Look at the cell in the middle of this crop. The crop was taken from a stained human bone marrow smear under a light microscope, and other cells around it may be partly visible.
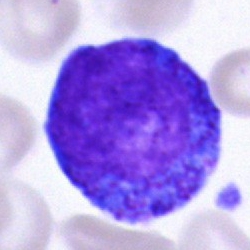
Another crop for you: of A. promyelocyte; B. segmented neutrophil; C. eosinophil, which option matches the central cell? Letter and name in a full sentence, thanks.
The middle of the crop holds a promyelocyte, which points to option A.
